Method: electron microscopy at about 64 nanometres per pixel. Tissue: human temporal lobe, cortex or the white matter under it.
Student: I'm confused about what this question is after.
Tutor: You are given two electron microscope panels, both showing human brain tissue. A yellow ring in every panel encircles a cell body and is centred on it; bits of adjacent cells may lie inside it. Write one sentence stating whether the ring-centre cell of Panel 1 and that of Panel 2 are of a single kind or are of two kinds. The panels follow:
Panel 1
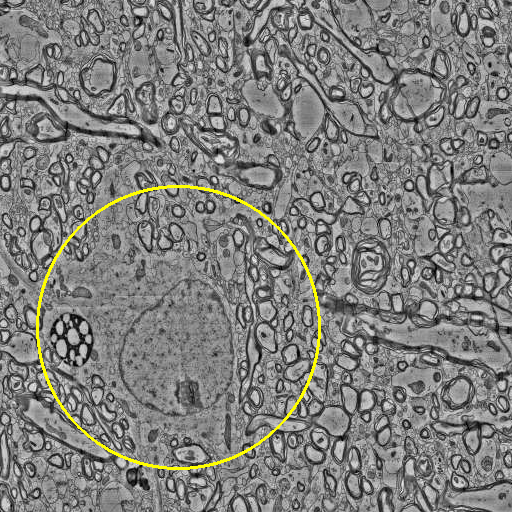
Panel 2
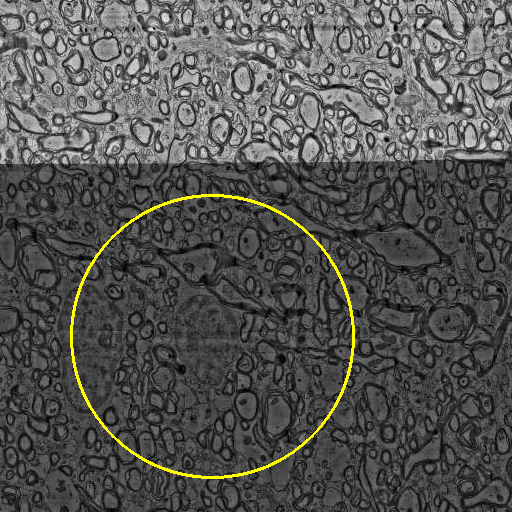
Here, the Panel 1 ring-centre cell and the Panel 2 ring-centre cell are of two kinds.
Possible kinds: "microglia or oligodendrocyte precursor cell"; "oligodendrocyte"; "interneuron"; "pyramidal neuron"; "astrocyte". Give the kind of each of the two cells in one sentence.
The cell in the second picture is an oligodendrocyte, and that in the first is an astrocyte.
